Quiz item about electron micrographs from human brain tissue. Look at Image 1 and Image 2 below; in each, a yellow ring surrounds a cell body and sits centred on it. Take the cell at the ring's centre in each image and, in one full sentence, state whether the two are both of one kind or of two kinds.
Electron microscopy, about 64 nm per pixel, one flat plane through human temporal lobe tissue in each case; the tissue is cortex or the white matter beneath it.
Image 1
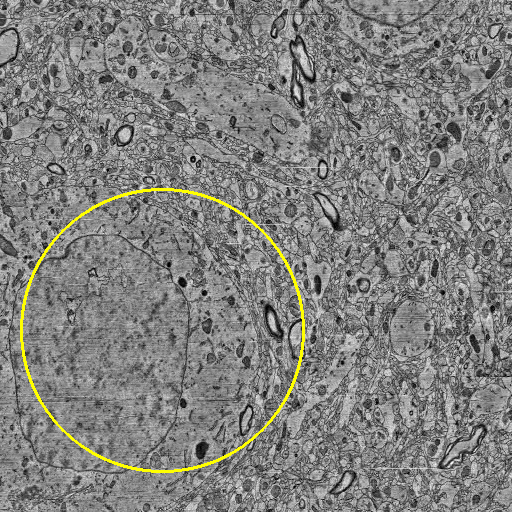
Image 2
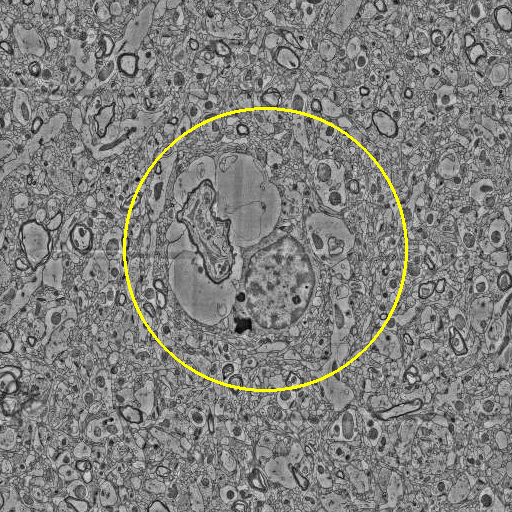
In Image 1 and Image 2, the cells at the ring centres are of two kinds.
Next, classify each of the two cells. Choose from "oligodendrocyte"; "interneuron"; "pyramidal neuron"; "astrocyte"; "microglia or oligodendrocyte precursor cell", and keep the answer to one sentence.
In the first picture it is a pyramidal neuron; in the second it is an oligodendrocyte.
